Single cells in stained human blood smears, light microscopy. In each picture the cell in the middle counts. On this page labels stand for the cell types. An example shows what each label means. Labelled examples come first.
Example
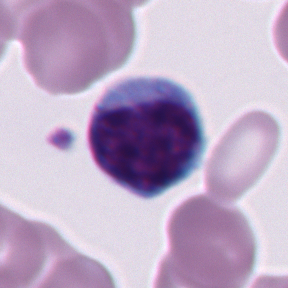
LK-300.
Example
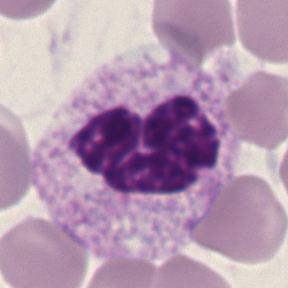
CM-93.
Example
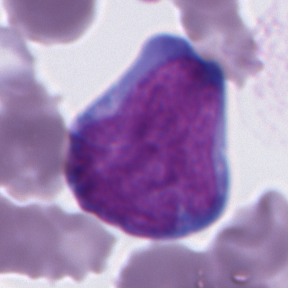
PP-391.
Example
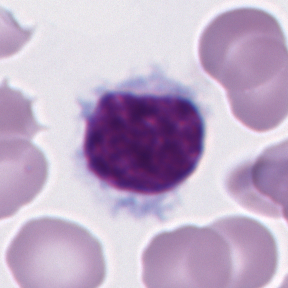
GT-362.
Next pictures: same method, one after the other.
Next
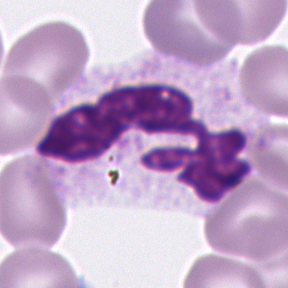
CM-93.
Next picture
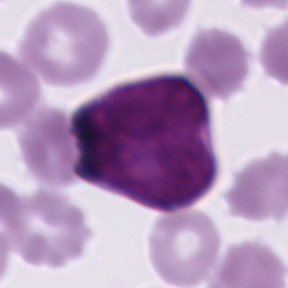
PP-391.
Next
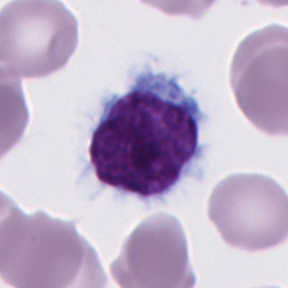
GT-362.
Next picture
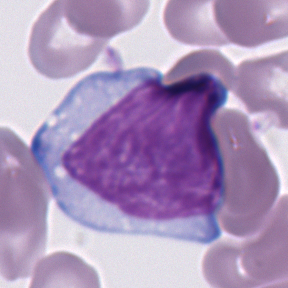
PP-391.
